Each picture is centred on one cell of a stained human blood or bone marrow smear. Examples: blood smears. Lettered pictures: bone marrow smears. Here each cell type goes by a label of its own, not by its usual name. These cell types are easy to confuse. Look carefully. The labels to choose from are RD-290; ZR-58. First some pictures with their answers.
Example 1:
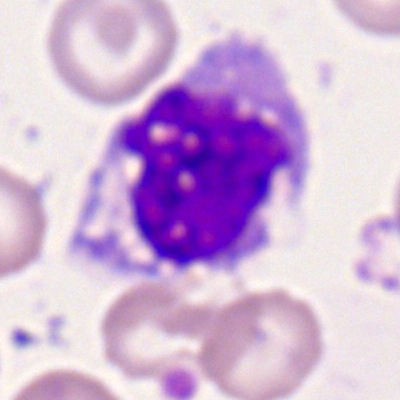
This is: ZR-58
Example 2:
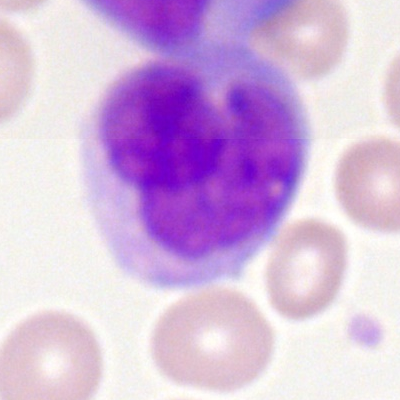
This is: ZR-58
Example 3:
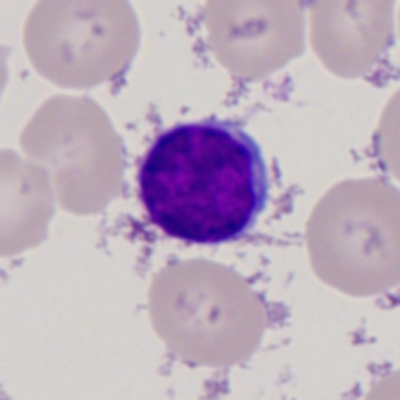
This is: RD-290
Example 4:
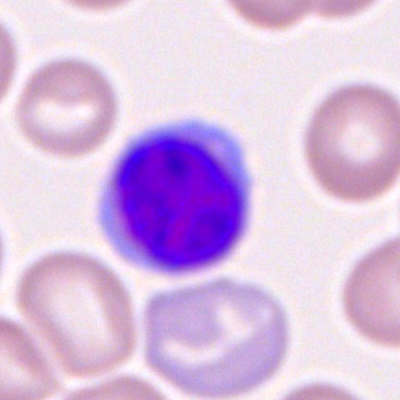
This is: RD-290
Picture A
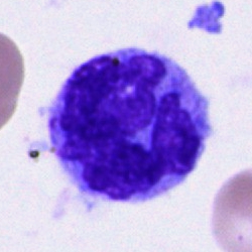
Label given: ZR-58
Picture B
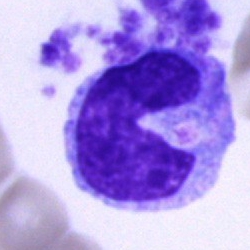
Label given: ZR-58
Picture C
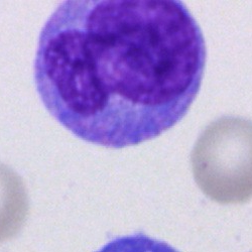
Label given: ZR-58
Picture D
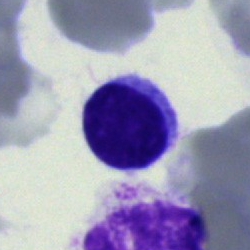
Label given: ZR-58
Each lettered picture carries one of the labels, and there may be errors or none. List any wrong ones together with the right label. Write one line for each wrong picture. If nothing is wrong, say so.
D: RD-290, not ZR-58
